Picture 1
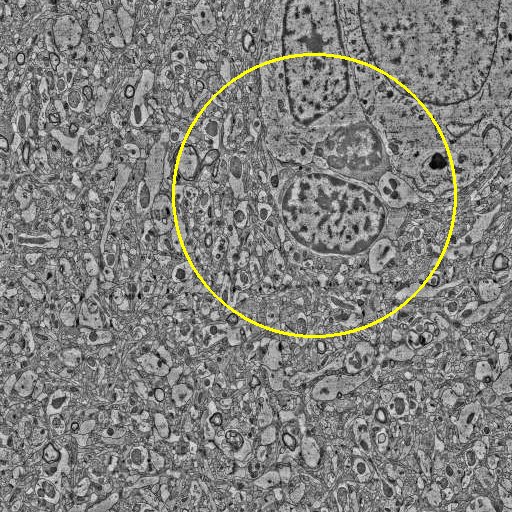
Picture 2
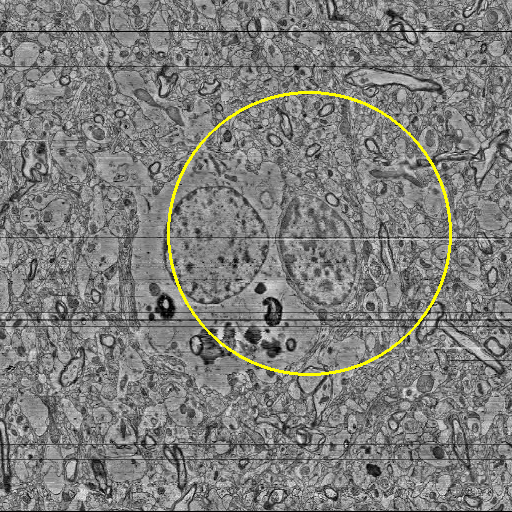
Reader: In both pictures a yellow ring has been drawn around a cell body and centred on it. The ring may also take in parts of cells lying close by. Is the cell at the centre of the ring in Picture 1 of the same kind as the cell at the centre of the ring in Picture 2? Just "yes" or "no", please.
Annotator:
no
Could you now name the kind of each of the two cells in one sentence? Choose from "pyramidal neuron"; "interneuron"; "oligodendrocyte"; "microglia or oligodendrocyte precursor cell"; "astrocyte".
The first ring encloses a microglial cell or oligodendrocyte precursor cell; the second ring encloses an oligodendrocyte.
